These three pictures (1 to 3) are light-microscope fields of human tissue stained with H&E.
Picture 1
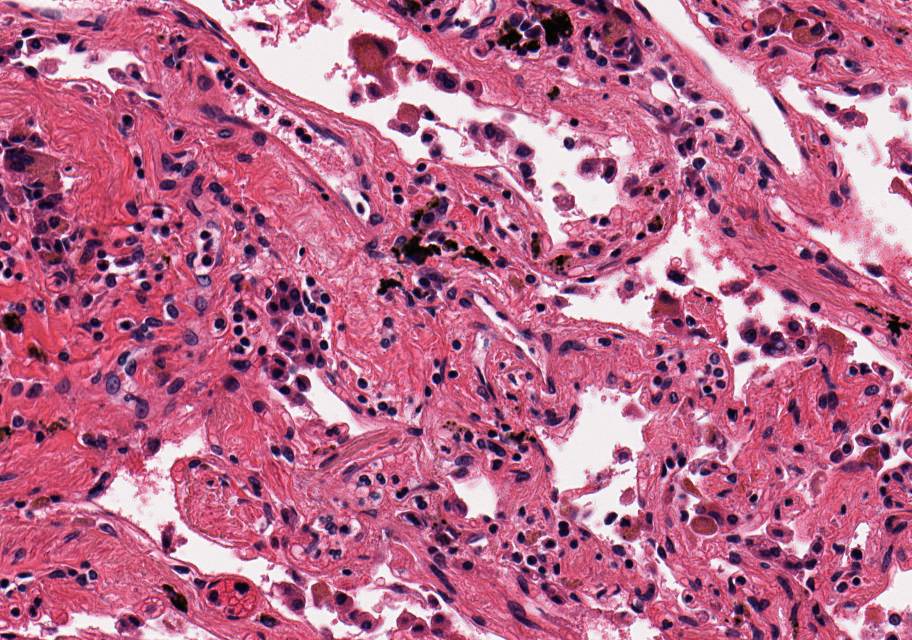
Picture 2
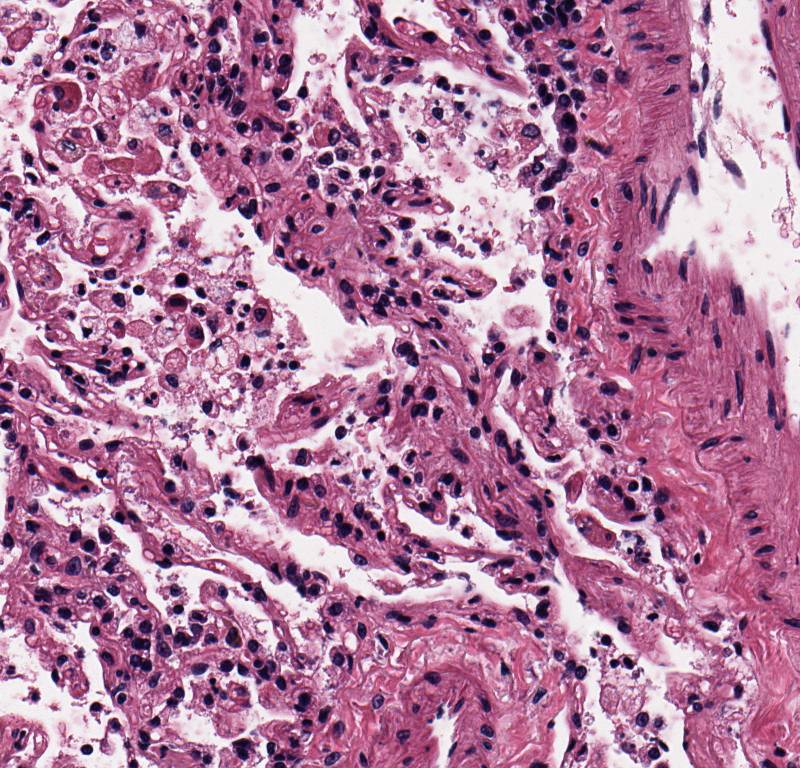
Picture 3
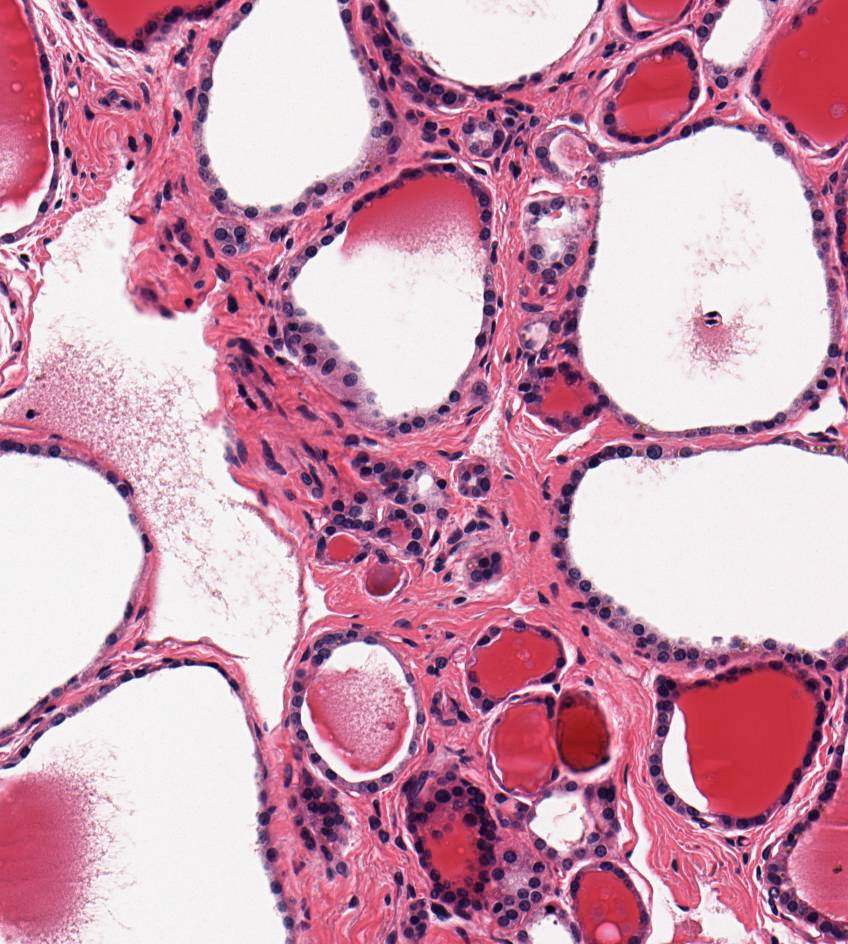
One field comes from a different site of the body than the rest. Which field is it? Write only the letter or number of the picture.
3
